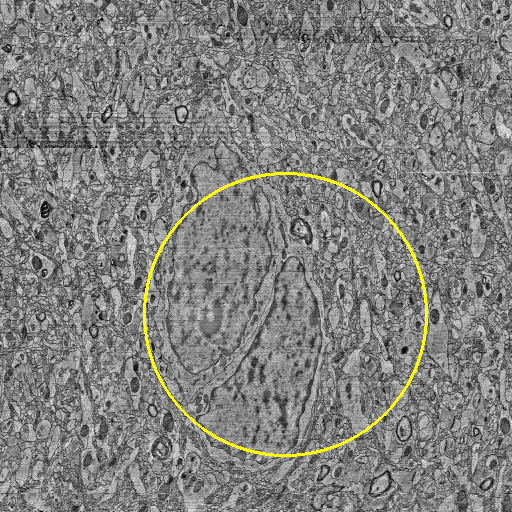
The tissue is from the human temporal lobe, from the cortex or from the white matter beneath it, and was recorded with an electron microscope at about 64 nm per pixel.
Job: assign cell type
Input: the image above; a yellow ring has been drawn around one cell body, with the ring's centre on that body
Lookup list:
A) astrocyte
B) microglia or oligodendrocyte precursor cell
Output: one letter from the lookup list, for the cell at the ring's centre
B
